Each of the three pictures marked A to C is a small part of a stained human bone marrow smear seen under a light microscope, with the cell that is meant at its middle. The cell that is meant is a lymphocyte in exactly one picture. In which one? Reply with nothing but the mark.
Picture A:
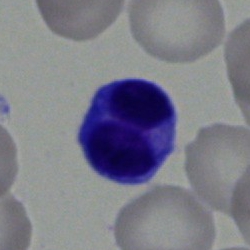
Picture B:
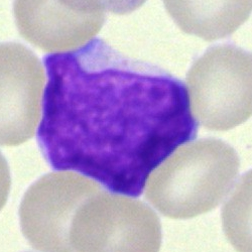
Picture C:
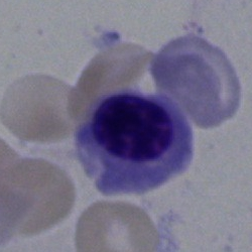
A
